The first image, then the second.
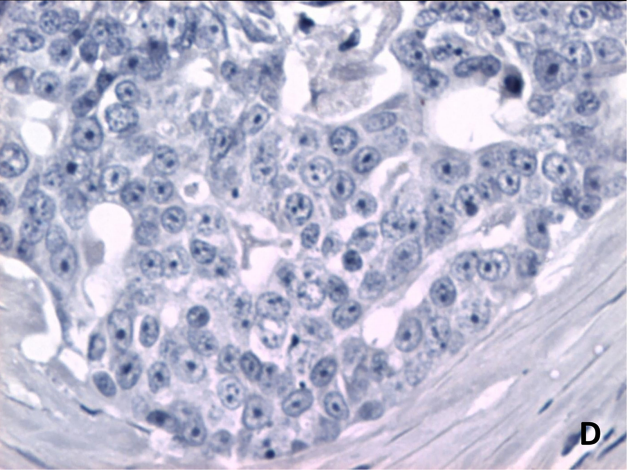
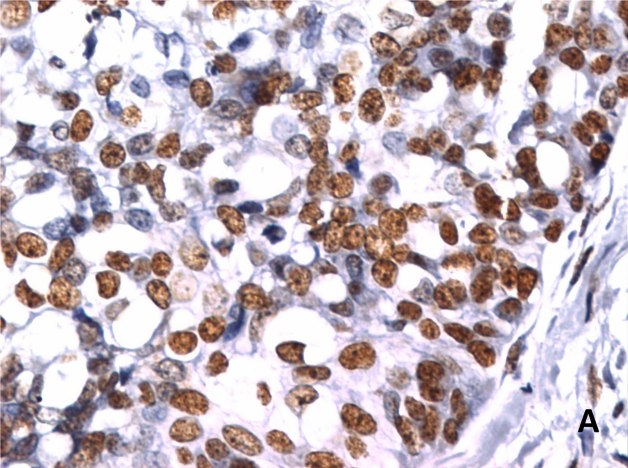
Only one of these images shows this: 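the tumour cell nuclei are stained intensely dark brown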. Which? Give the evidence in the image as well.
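The second image. First image: all nuclei are blue with no brown colour. Second image: most nuclei are solid dark brown.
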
